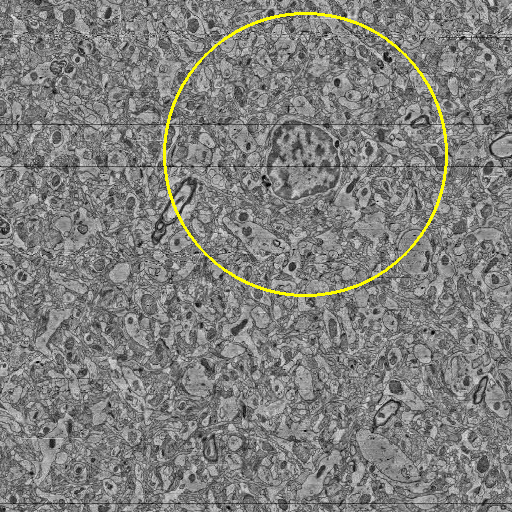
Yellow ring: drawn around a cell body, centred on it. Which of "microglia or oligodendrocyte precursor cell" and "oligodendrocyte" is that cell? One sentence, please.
That cell body is from a microglial cell or oligodendrocyte precursor cell.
